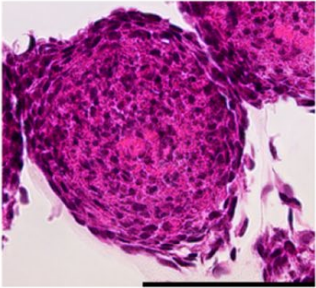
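This is a section through a compact cell spheroid, a round mass of densely packed cells with dark purple nuclei. The nuclei crowd the core, while pink-staining areas lie among them toward the centre. At the edge, elongated flattened cells wrap around the mass in concentric layers, and a few spindle-shaped cells trail off outside it.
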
